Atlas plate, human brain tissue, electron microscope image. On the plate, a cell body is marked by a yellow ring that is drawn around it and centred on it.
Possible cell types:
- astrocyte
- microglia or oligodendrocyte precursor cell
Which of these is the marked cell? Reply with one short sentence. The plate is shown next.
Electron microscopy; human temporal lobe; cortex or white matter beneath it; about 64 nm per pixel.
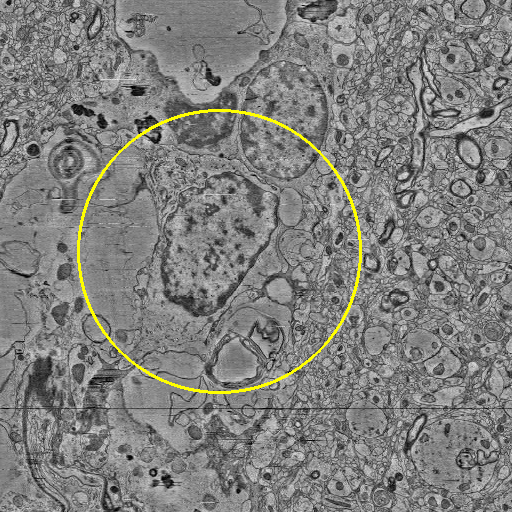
The marked cell is a microglial cell or oligodendrocyte precursor cell.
